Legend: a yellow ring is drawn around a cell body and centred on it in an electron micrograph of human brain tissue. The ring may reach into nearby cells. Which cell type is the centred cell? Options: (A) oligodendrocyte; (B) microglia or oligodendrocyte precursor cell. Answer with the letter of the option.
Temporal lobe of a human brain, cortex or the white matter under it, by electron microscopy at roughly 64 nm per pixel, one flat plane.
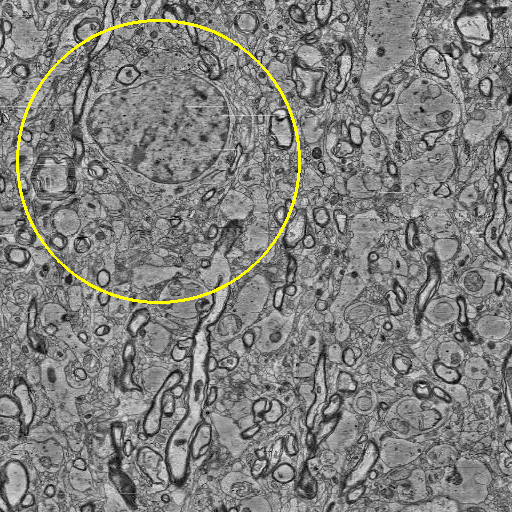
B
